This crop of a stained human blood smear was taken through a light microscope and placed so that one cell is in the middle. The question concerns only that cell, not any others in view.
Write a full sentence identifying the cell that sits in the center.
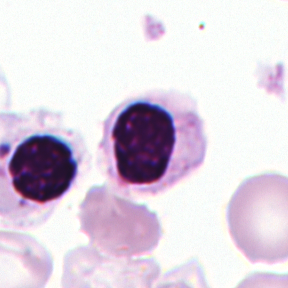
The center cell of this crop is an erythroblast.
